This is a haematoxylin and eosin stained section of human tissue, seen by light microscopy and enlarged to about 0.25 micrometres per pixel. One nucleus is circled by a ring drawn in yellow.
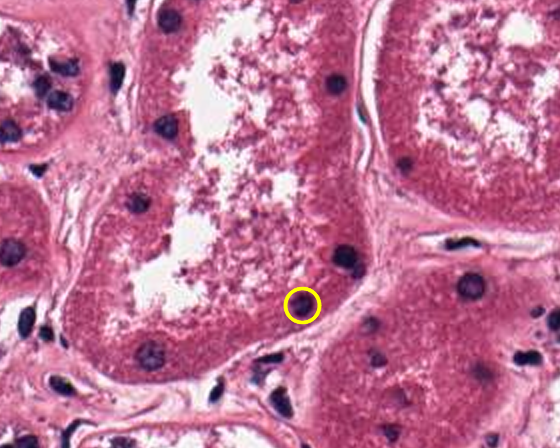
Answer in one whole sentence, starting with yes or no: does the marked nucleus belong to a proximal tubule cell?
Yes, the cell that houses the marked nucleus is a proximal tubule cell.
